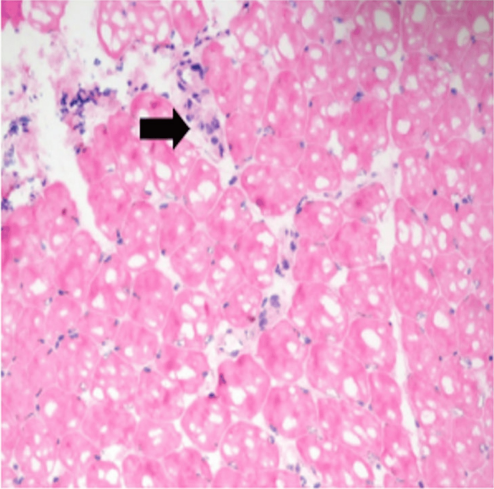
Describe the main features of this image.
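This is skeletal muscle cut across, with its fibers seen as pink polygonal profiles packed into bundles. Many fibers contain pale, clear spaces within their pink cytoplasm. Between the fibers, especially toward the upper left, small round cells with dark-blue nuclei and scant cytoplasm gather in the loose tissue, forming a small infiltrate.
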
